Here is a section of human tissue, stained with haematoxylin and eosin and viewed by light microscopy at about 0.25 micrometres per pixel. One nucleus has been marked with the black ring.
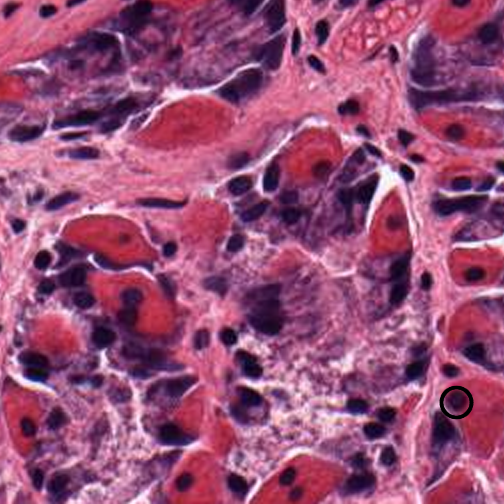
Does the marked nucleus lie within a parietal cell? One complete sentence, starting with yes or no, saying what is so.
Yes, the marked nucleus is a part of a parietal cell.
